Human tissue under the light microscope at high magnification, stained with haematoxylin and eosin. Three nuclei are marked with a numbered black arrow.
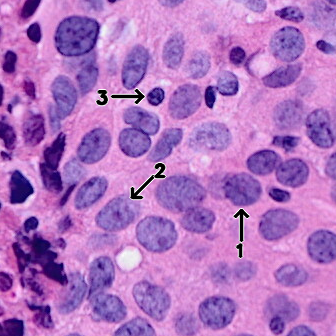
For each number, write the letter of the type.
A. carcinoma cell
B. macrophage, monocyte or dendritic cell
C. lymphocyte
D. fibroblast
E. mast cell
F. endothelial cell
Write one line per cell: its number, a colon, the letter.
1: A
2: A
3: C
